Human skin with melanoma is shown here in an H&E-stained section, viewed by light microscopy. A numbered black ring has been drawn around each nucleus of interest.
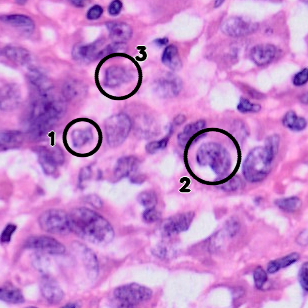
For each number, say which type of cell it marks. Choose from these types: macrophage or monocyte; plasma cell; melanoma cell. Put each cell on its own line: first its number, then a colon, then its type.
1: macrophage or monocyte
2: melanoma cell
3: melanoma cell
